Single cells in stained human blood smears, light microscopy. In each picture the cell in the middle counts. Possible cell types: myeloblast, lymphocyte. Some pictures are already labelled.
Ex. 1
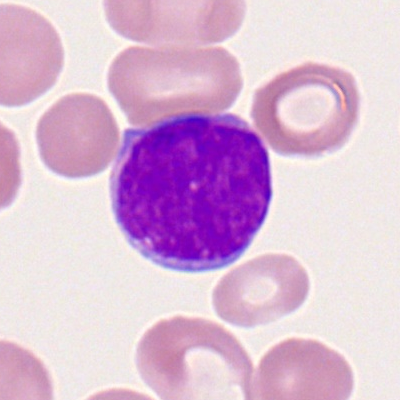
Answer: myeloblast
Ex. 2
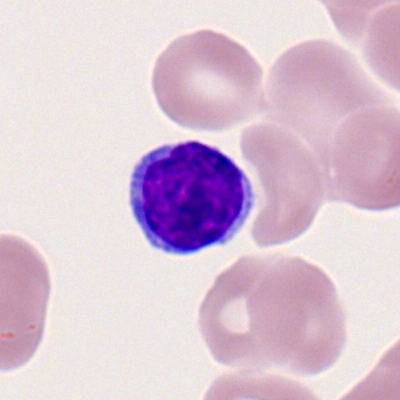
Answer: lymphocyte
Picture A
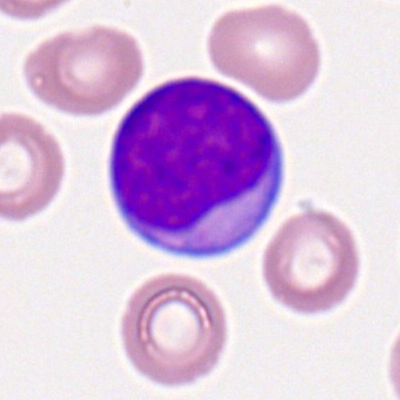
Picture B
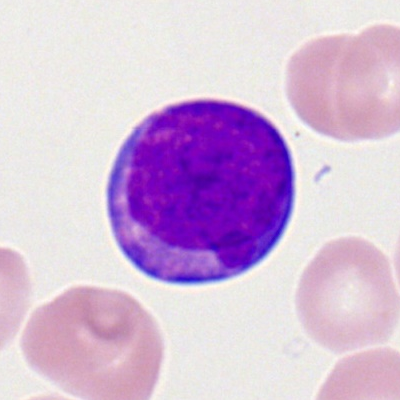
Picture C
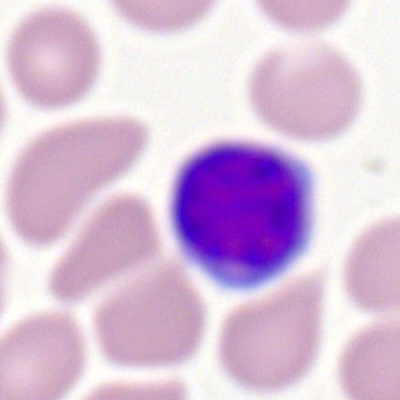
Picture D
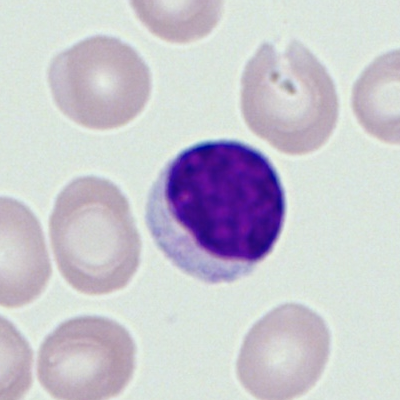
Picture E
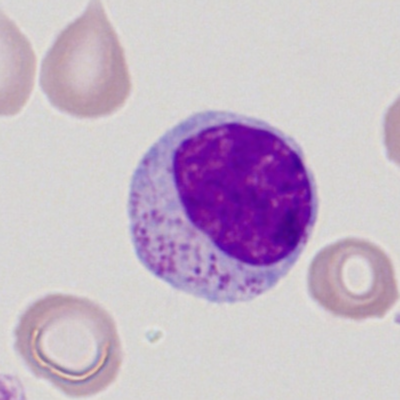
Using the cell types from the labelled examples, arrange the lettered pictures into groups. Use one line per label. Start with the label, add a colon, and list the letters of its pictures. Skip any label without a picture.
myeloblast: A, B
lymphocyte: C, D, E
